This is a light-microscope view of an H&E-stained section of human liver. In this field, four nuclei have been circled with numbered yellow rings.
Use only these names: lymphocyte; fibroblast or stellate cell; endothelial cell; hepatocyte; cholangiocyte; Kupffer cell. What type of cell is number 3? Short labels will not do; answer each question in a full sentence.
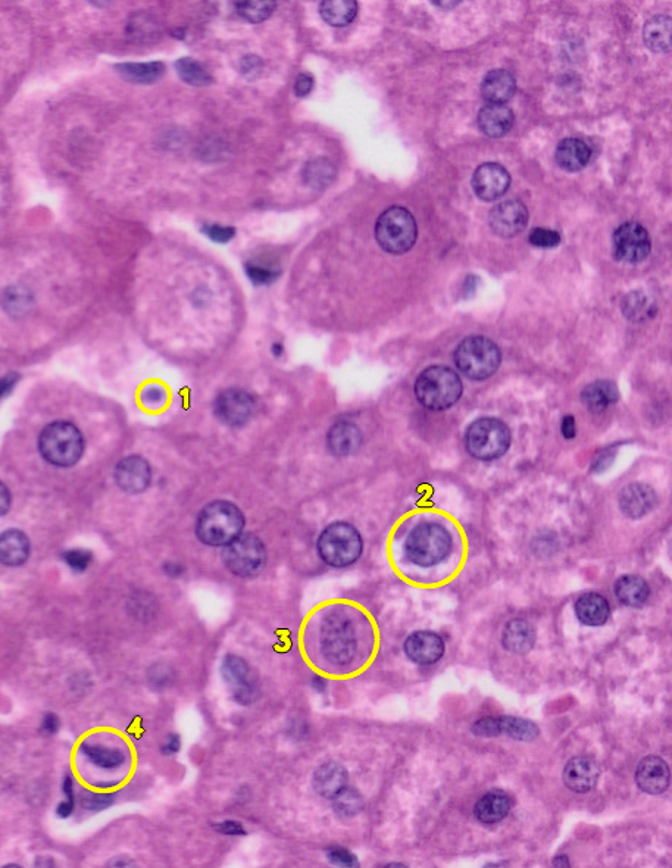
Identified as a hepatocyte is the cell bearing the number 3.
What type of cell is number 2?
The cell identified by number 2 is a hepatocyte.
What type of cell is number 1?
Marked with the number 1, this cell is a lymphocyte.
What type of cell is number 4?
The nucleus labeled 4 belongs to a fibroblast or stellate cell.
